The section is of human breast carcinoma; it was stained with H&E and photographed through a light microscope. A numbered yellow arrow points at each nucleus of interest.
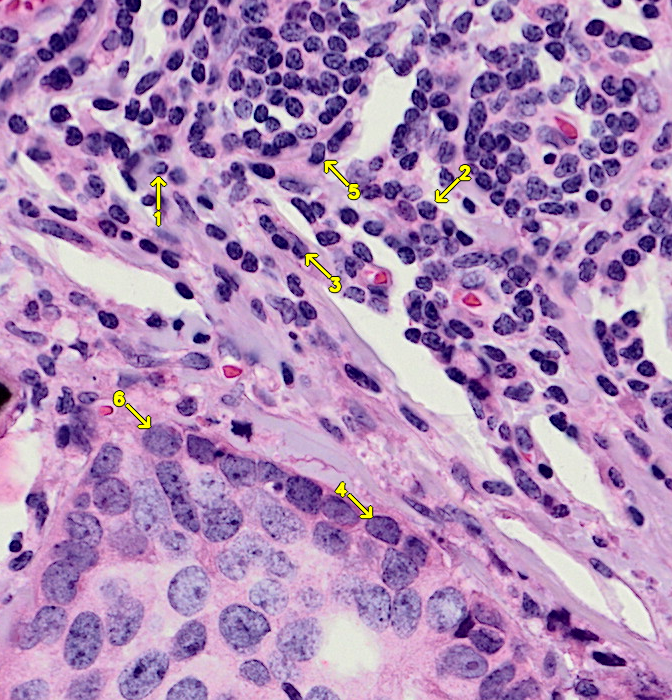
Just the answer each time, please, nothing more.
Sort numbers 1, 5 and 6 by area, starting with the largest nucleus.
6, 5, 1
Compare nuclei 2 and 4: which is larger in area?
4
